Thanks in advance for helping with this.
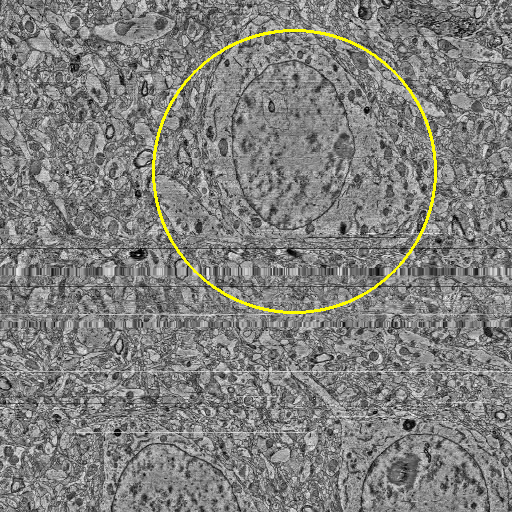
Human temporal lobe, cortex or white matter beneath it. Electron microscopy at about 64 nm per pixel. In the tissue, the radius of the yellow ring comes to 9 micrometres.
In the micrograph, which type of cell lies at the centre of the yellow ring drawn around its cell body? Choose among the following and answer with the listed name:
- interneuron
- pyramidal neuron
pyramidal neuron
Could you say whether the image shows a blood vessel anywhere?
No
